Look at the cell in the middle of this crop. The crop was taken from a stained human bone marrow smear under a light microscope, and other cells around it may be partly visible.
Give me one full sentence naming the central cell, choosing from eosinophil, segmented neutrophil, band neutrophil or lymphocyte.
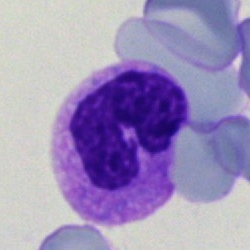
To answer, the cell in the center of the crop is a band neutrophil.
